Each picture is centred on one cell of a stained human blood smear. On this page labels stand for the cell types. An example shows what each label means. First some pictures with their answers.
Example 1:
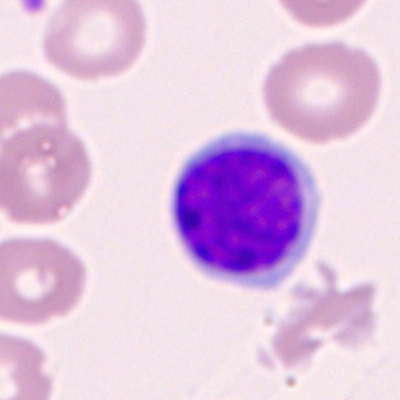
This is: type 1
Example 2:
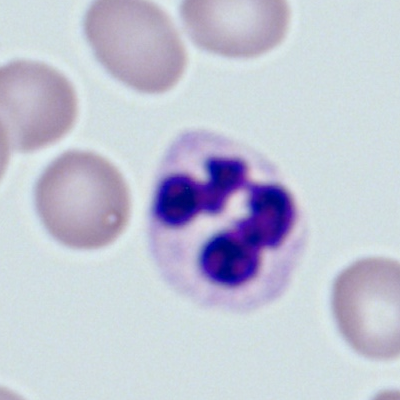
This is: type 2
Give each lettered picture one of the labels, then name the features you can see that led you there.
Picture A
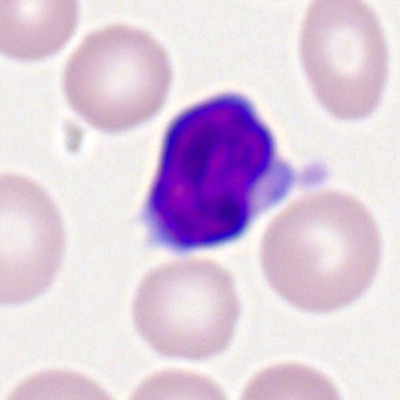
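type 1. Reason: The nucleus fills most of the cell.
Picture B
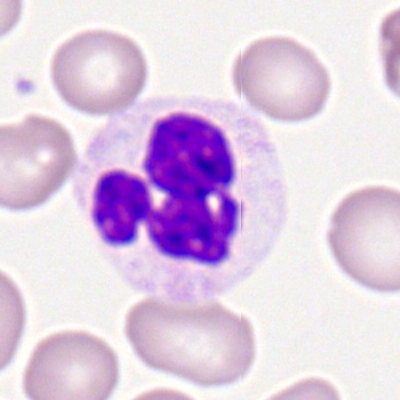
type 2. Reason: The nucleus is split into three lobes.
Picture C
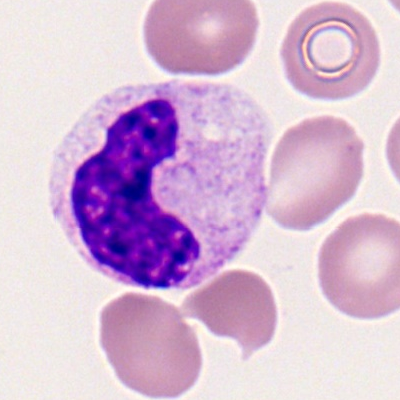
type 2. Reason: The cytoplasm is plentiful rather than a thin rim.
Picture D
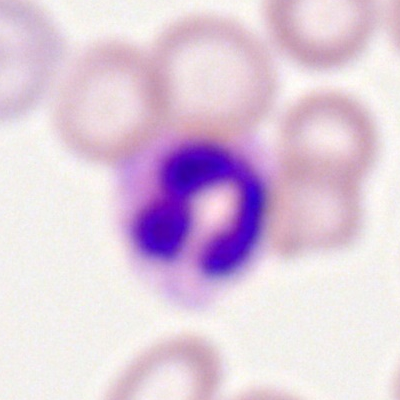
type 2. Reason: The nucleus is a curved band that wraps around a small pale central area.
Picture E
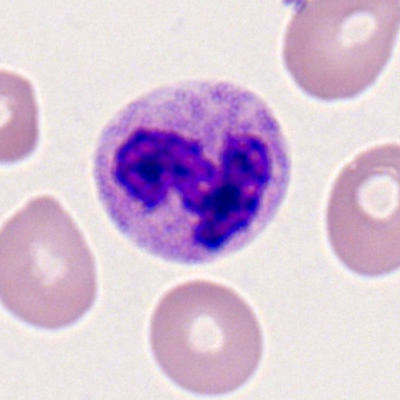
type 2. Reason: The cytoplasm is plentiful around the nucleus.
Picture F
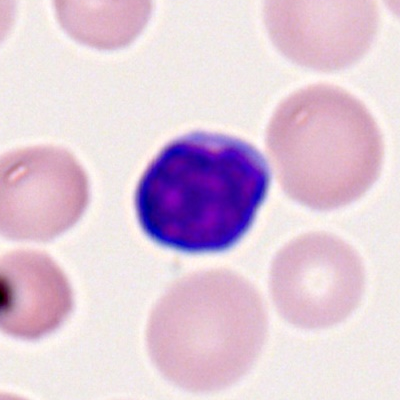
type 1. Reason: Only a thin crescent of pale blue cytoplasm shows, mainly along the top edge.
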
